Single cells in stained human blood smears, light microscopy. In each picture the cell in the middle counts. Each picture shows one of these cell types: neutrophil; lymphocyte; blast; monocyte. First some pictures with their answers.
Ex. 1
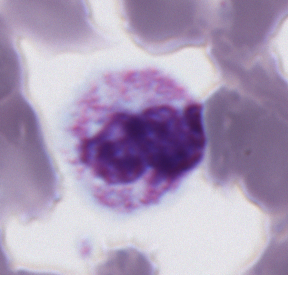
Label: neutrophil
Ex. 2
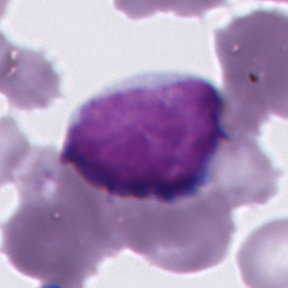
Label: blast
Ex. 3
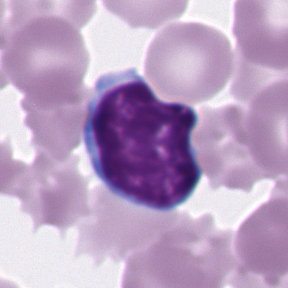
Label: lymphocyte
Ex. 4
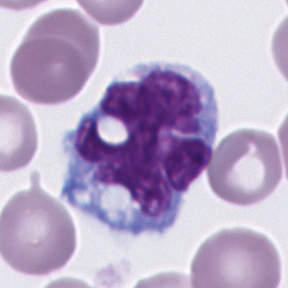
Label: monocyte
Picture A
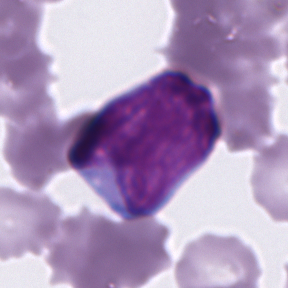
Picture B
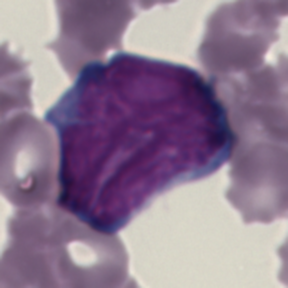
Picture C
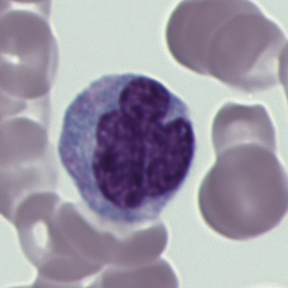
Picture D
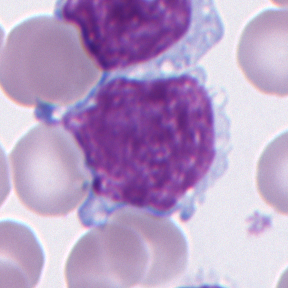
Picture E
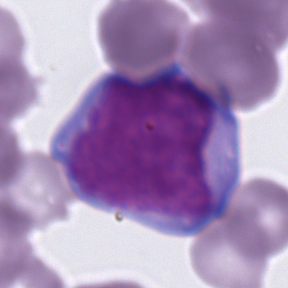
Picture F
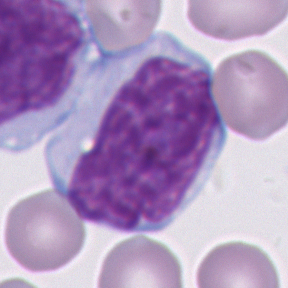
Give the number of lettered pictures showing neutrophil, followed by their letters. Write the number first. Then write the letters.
0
